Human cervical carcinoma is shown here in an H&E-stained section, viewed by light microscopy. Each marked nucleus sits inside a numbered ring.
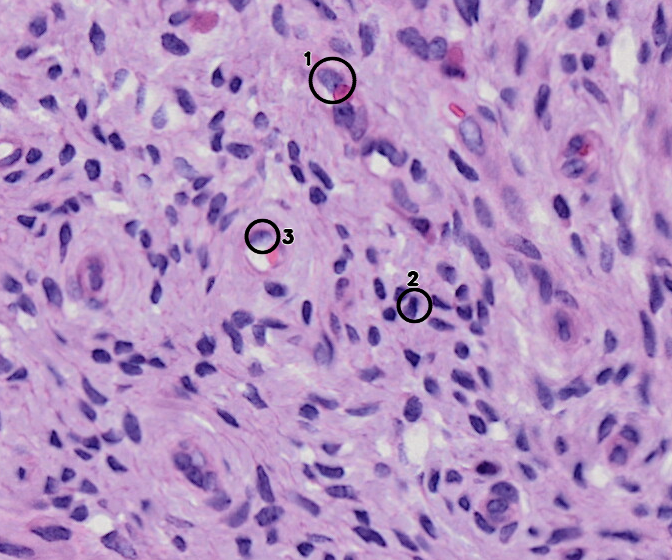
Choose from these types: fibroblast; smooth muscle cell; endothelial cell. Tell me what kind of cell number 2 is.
fibroblast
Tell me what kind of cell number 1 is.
endothelial cell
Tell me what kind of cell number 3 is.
endothelial cell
